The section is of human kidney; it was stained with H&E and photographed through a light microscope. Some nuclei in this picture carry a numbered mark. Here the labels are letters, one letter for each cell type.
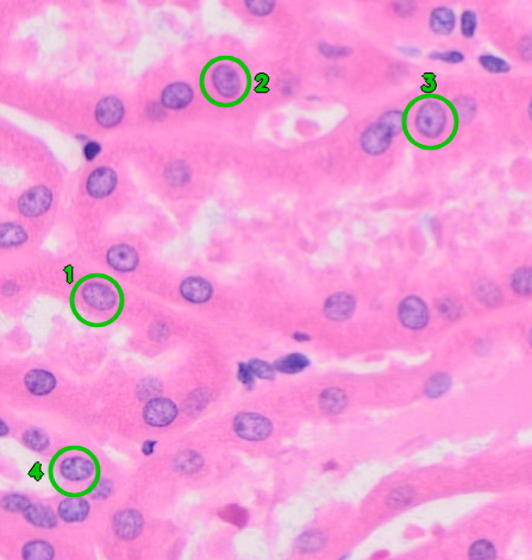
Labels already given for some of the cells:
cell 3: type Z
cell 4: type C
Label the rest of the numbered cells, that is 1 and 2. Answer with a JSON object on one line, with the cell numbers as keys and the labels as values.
{"1": "type Z", "2": "type Z"}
